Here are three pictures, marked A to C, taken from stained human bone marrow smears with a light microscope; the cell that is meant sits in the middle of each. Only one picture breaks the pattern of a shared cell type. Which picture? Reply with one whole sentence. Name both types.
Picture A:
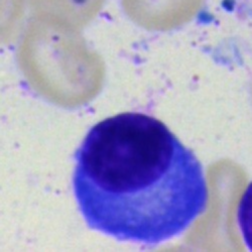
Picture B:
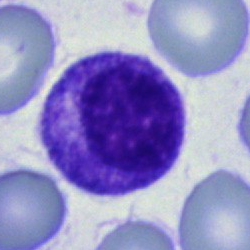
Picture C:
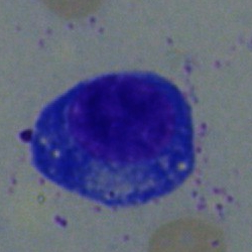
All pictures except B show plasma cells; picture B shows a promyelocyte.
